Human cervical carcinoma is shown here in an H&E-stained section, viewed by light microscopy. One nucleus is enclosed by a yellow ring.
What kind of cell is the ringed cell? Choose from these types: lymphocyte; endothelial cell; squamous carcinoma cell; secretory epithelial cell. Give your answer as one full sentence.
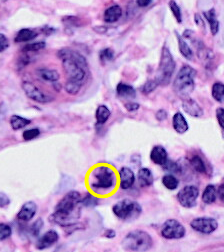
In the tissue at hand, the ringed cell is a lymphocyte.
